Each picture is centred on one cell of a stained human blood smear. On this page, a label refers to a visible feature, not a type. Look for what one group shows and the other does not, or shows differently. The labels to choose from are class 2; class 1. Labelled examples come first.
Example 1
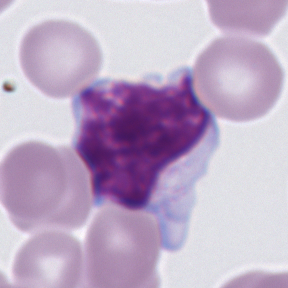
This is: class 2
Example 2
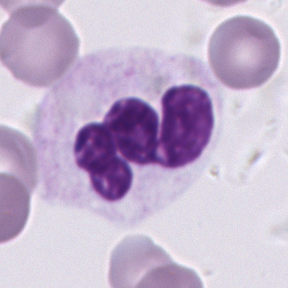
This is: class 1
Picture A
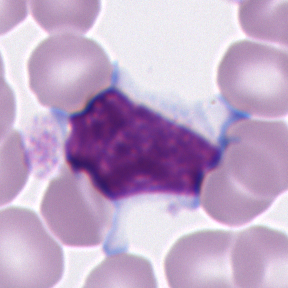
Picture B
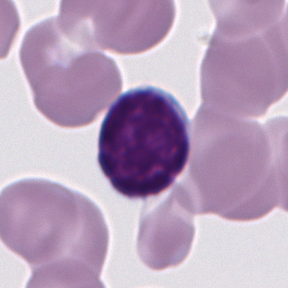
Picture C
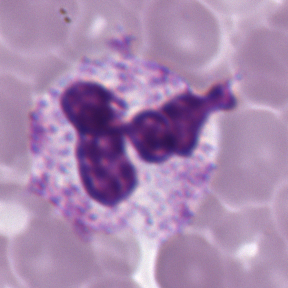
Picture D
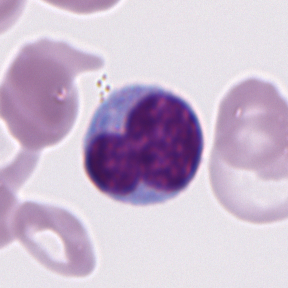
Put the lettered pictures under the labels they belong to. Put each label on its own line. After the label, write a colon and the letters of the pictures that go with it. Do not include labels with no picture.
class 2: A, C
class 1: B, D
